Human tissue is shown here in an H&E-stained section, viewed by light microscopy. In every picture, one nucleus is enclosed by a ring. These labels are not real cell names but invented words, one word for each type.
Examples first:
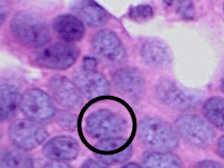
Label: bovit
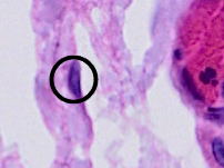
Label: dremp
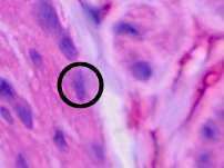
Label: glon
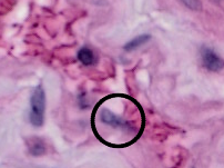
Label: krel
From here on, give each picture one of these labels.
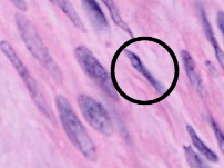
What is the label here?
glon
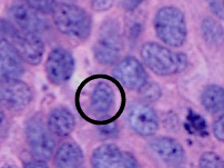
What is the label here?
bovit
